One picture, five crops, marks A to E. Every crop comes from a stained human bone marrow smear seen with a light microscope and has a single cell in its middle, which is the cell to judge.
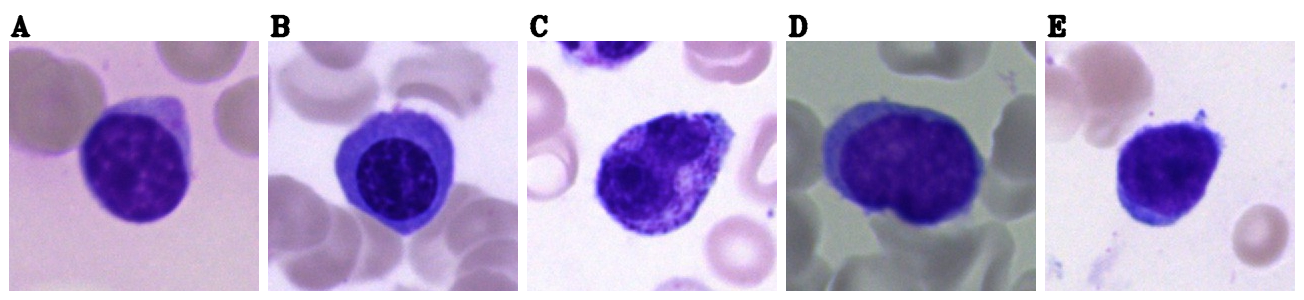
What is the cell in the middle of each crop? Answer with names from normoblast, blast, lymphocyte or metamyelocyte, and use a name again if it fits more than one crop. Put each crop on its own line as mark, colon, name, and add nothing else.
A: lymphocyte
B: normoblast
C: metamyelocyte
D: blast
E: lymphocyte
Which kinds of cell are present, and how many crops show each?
lymphocyte: 2
normoblast: 1
metamyelocyte: 1
blast: 1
